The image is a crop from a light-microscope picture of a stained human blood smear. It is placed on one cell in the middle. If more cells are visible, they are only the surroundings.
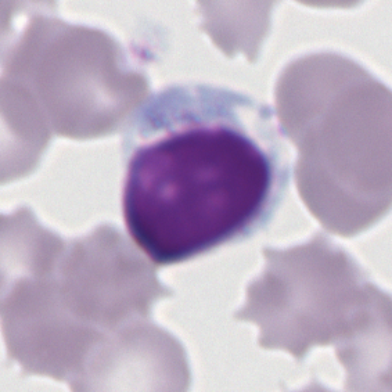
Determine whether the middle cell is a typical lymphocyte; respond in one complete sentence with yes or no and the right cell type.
Yes, the identity of the central cell is that of a typical lymphocyte.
